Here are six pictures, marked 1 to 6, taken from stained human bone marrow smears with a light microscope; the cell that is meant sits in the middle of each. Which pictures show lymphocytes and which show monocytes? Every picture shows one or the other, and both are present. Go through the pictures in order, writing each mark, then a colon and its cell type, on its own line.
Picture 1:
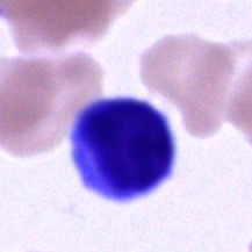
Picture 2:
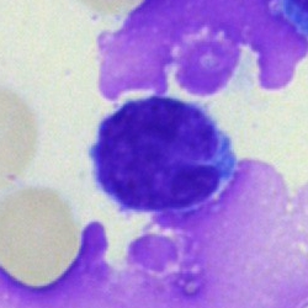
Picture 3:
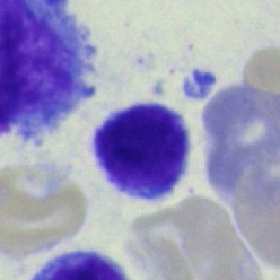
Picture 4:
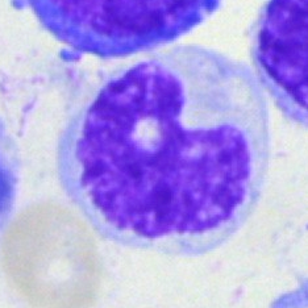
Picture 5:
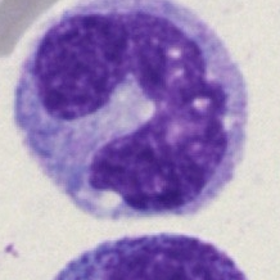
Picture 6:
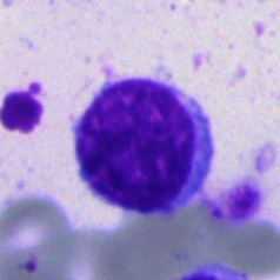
1: lymphocyte
2: lymphocyte
3: lymphocyte
4: monocyte
5: monocyte
6: lymphocyte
